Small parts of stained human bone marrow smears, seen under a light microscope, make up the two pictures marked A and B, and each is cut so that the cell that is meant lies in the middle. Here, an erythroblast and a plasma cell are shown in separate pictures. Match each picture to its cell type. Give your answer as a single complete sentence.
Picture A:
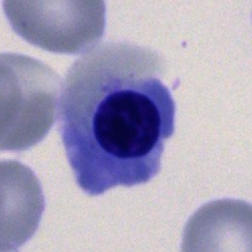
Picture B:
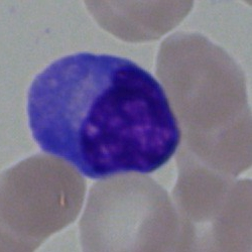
Picture B shows a plasma cell, while picture A shows an erythroblast.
